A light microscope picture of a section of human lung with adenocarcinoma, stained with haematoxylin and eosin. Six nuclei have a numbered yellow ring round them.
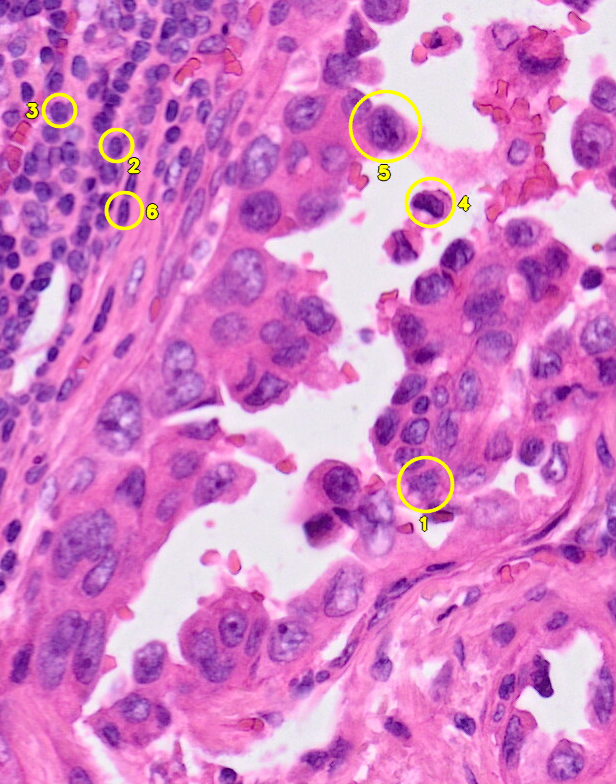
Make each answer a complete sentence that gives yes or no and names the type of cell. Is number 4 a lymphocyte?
No, rather than a lymphocyte, cell number 4 is a carcinoma cell.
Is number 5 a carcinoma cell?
Yes, the cell that goes by number 5 is a carcinoma cell.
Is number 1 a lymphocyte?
No, the cell with number 1 is not a lymphocyte but a carcinoma cell.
